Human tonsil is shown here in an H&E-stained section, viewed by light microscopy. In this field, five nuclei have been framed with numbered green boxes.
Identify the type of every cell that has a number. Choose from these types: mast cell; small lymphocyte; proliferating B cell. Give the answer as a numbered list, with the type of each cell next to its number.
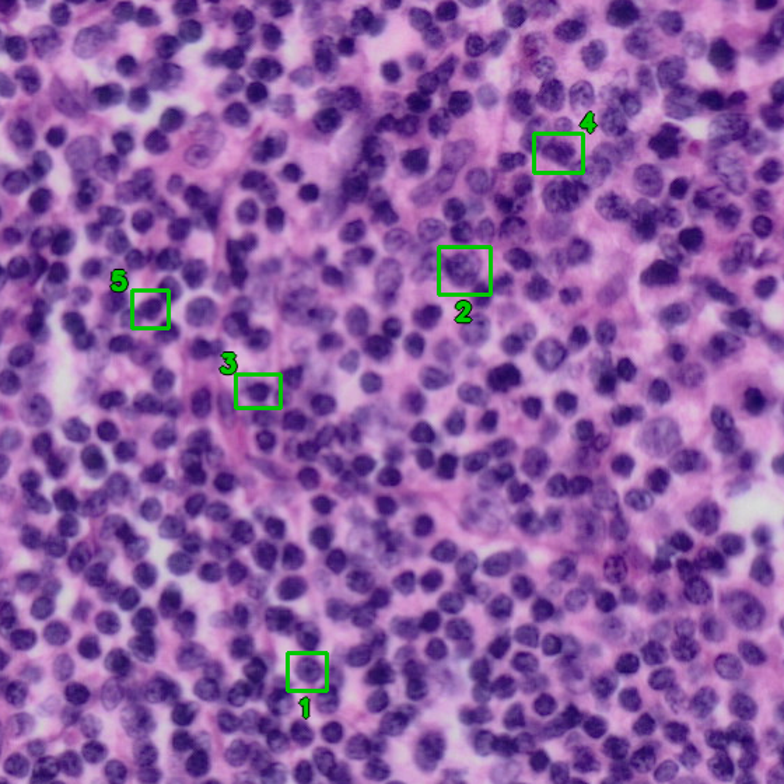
1. small lymphocyte
2. proliferating B cell
3. small lymphocyte
4. proliferating B cell
5. small lymphocyte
